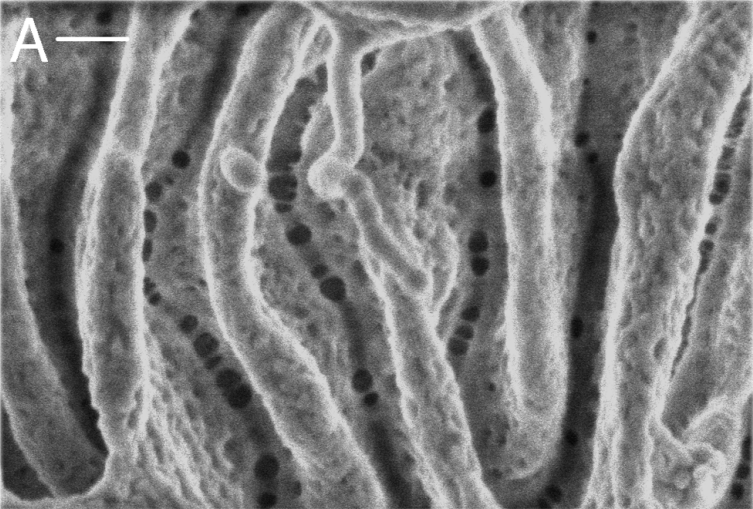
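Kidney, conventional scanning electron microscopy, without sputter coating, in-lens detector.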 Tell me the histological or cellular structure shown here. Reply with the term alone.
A: Glomerular podocyte slit diaphragms.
